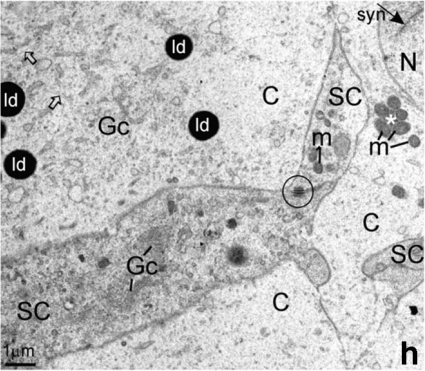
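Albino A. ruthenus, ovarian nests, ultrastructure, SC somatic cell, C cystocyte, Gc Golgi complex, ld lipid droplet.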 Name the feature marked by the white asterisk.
Mitochondrial cement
